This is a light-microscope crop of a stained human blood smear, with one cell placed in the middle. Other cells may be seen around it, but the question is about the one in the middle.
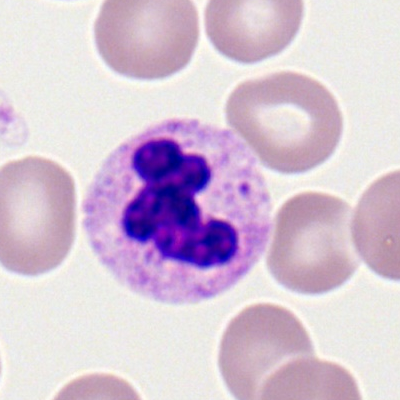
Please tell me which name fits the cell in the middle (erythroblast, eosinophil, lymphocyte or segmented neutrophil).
segmented neutrophil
